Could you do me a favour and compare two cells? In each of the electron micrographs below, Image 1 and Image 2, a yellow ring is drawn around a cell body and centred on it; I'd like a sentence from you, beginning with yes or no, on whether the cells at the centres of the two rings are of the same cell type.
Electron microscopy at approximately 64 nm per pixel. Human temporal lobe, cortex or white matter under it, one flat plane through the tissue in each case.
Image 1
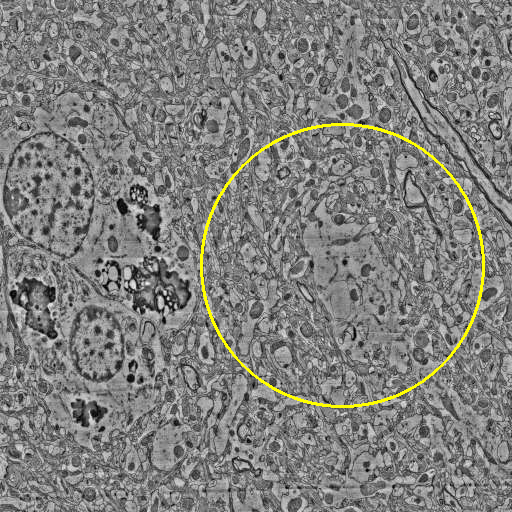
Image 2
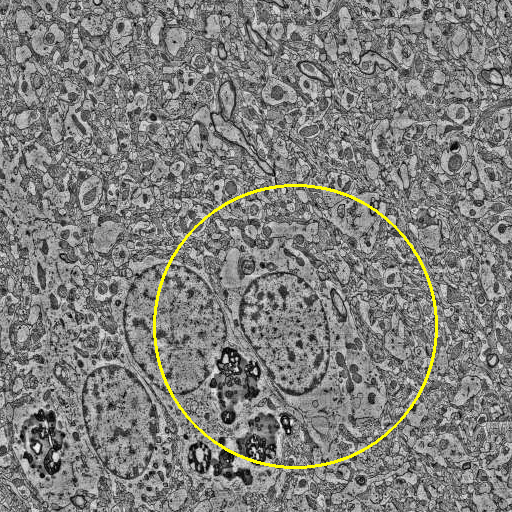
Yes, the two cells are of the same cell type.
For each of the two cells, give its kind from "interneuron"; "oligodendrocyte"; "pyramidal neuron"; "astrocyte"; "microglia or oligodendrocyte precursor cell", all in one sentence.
The second cell is an astrocyte, just as the first is.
